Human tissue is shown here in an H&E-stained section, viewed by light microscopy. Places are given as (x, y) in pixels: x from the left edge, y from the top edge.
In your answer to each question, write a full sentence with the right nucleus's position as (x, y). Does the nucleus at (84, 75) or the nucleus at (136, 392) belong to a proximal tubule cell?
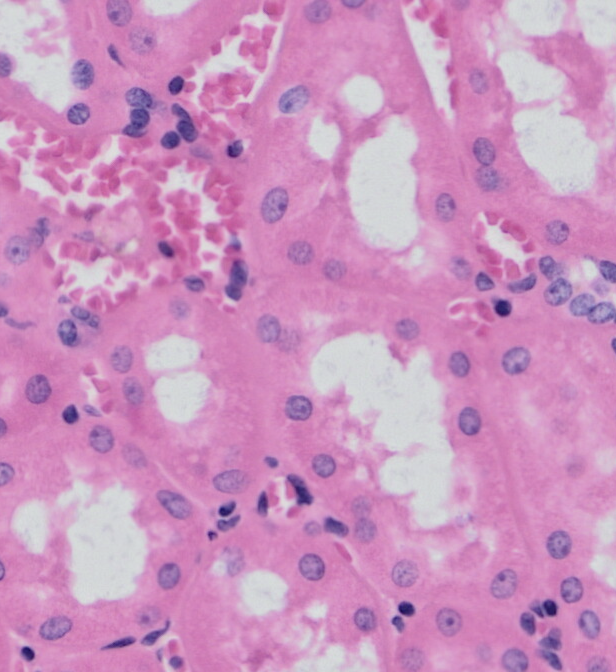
Housed in a proximal tubule cell is the nucleus at (136, 392), not the other one.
